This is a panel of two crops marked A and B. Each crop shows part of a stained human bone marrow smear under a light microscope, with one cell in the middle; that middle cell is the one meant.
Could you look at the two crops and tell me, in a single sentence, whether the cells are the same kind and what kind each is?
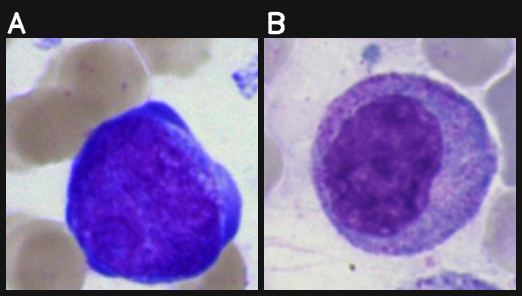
No, the cell at the middle of crop A is a blast, while crop B centres on a promyelocyte.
